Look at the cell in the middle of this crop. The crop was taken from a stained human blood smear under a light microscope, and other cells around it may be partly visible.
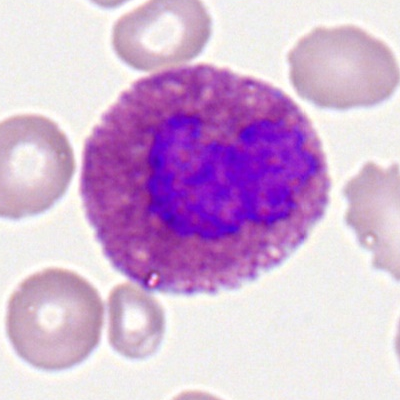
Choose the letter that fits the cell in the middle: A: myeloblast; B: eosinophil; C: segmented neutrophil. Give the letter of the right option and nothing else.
B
